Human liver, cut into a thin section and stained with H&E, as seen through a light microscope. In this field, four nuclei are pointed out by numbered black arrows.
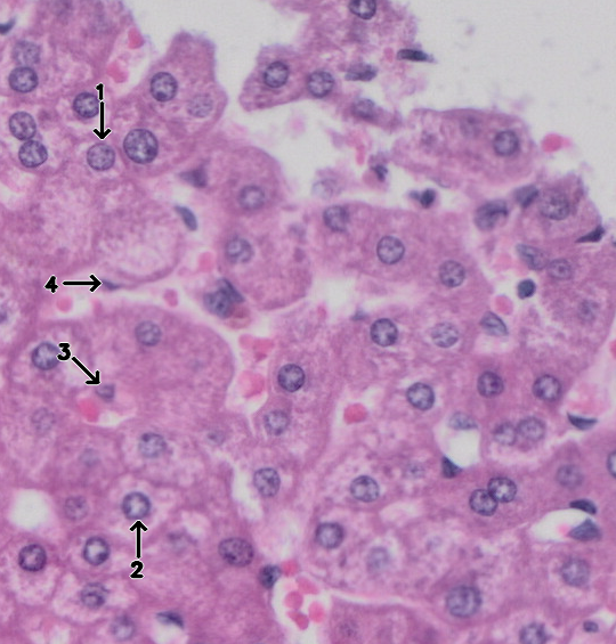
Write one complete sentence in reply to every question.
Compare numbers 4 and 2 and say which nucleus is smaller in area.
The smaller nucleus is 4, and 2 covers roughly 4 times its area.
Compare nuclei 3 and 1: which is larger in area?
Of the two, number 1 is bigger and takes up about 2.5 times the area of number 3.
